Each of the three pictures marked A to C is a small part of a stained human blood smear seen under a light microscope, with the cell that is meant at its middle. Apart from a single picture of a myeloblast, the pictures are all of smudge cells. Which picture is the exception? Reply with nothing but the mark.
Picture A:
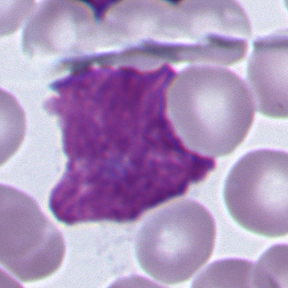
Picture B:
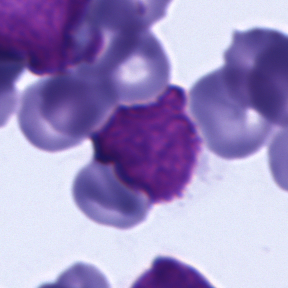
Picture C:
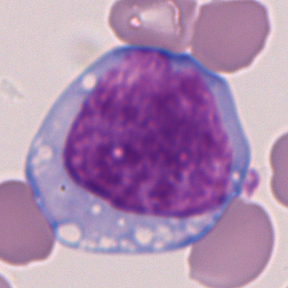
C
